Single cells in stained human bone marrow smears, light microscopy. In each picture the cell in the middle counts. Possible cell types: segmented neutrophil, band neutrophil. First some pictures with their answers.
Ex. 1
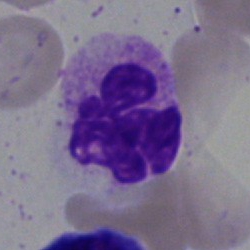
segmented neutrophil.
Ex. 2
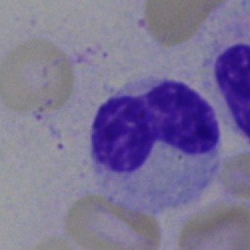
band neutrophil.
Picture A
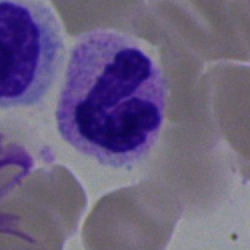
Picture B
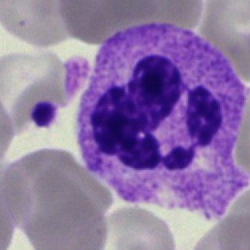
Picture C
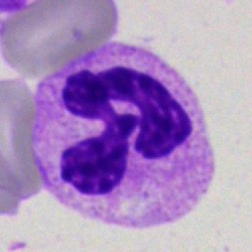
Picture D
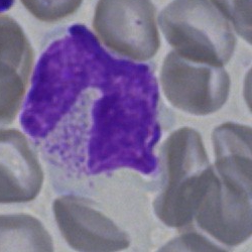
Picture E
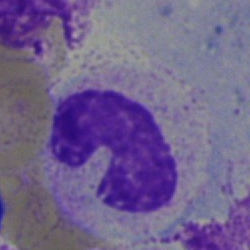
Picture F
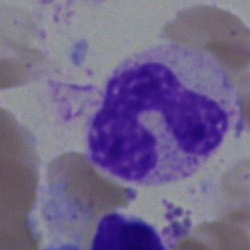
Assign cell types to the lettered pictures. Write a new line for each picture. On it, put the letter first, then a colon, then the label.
A: segmented neutrophil.
B: segmented neutrophil.
C: segmented neutrophil.
D: band neutrophil.
E: band neutrophil.
F: band neutrophil.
